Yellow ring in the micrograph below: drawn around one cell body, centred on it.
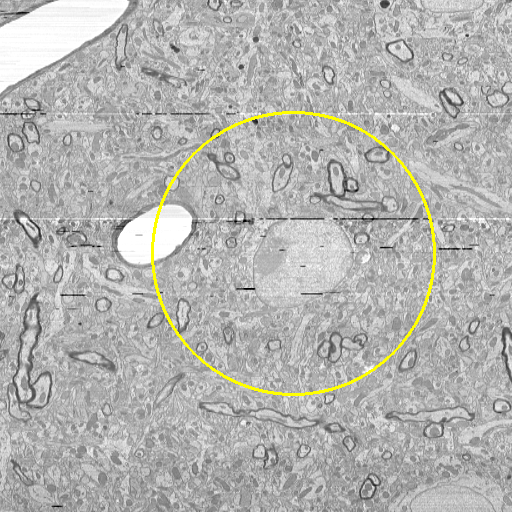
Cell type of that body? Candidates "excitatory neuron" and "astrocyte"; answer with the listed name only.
astrocyte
